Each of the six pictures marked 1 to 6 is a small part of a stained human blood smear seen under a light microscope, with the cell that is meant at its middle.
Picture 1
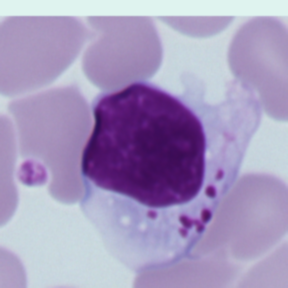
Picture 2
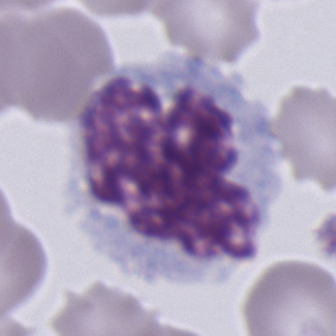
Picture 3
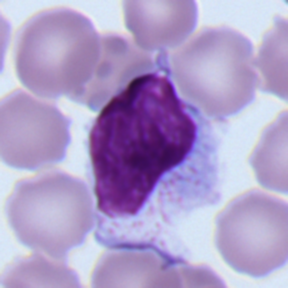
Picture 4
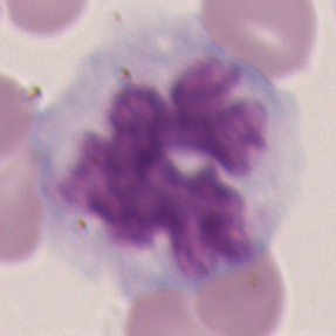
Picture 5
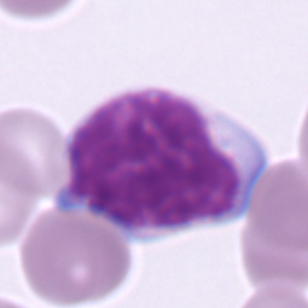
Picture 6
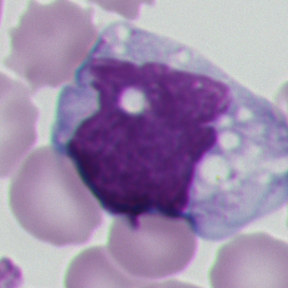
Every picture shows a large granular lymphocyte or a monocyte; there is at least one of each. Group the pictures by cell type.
1: large granular lymphocyte
2: monocyte
3: large granular lymphocyte
4: monocyte
5: large granular lymphocyte
6: monocyte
